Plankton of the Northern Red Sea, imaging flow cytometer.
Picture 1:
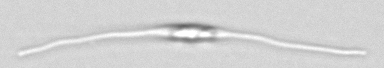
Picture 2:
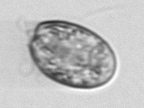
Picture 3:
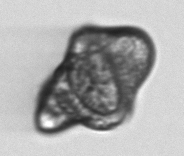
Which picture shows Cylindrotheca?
Picture 1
